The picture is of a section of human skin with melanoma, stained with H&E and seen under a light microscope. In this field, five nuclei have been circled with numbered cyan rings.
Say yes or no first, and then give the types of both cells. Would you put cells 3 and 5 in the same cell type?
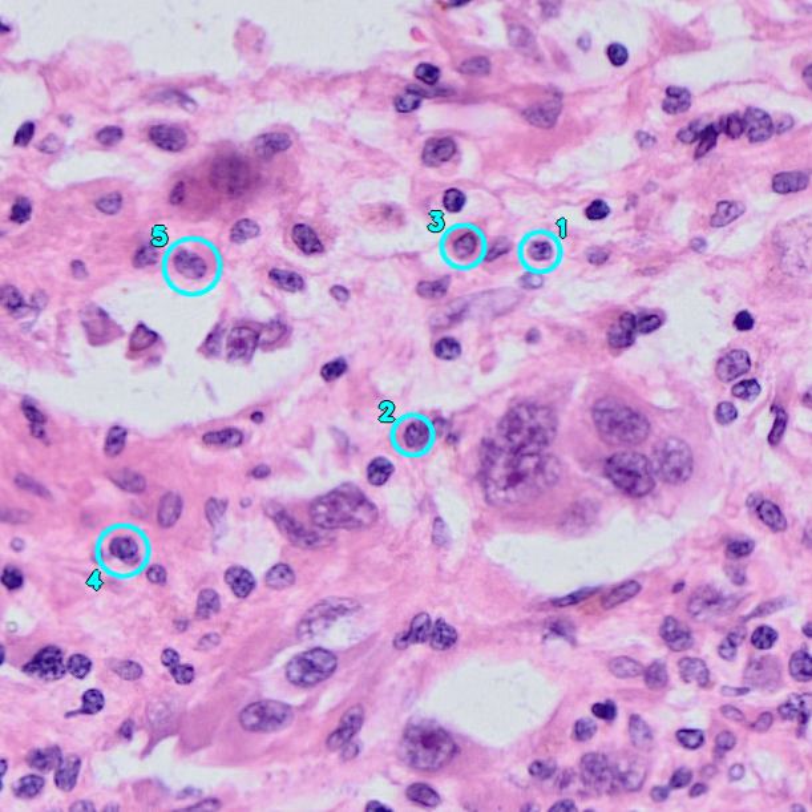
Yes, in short, cells 3 and 5 are both macrophages or monocytes.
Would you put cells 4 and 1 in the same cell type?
Yes, cells 4 and 1 are both to be classed as lymphocytes.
